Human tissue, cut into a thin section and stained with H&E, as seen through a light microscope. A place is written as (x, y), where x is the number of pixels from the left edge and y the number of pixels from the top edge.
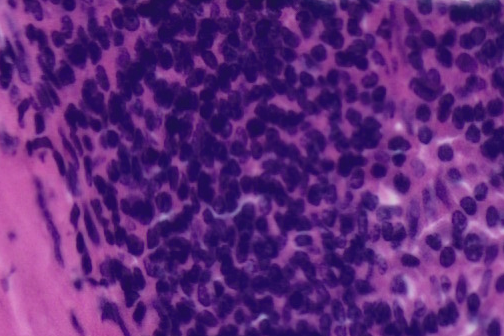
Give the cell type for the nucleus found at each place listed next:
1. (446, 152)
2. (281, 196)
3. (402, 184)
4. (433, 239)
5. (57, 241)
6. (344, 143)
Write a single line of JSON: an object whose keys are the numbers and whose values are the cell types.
{"1": "plasma cell", "2": "small lymphocyte", "3": "plasma cell", "4": "plasma cell", "5": "endothelial cell", "6": "small lymphocyte"}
